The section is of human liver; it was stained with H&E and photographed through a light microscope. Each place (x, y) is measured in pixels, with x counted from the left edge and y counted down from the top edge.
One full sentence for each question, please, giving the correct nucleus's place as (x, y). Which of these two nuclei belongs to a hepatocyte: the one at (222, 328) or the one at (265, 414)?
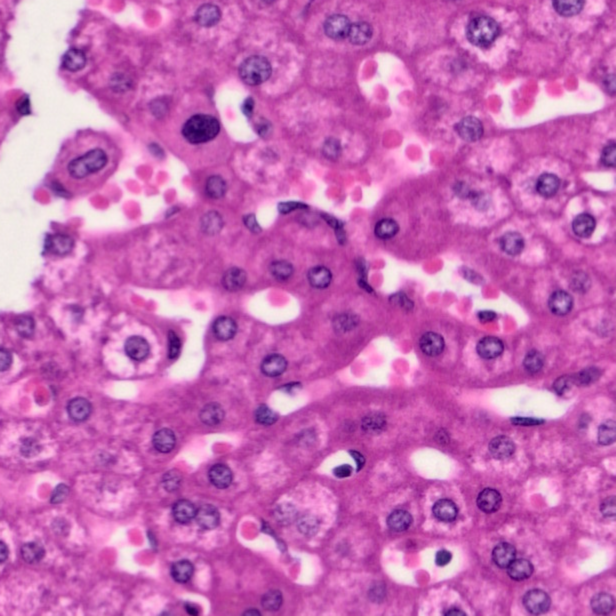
The nucleus located at (222, 328) is the one held within a hepatocyte.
